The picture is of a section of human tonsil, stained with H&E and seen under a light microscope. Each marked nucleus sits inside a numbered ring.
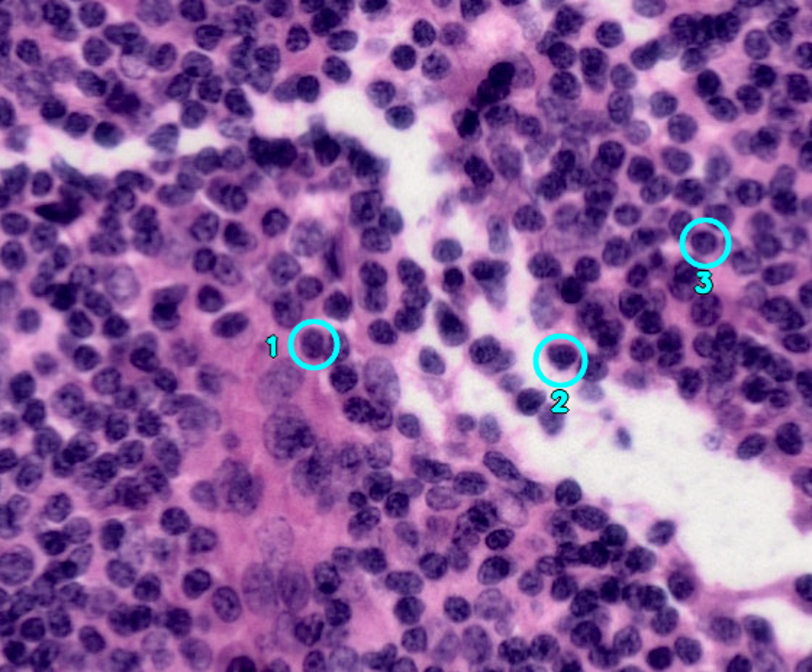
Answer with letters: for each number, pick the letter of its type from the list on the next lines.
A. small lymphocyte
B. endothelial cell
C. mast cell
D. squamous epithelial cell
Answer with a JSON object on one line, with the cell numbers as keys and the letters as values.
{"1": "B", "2": "A", "3": "A"}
